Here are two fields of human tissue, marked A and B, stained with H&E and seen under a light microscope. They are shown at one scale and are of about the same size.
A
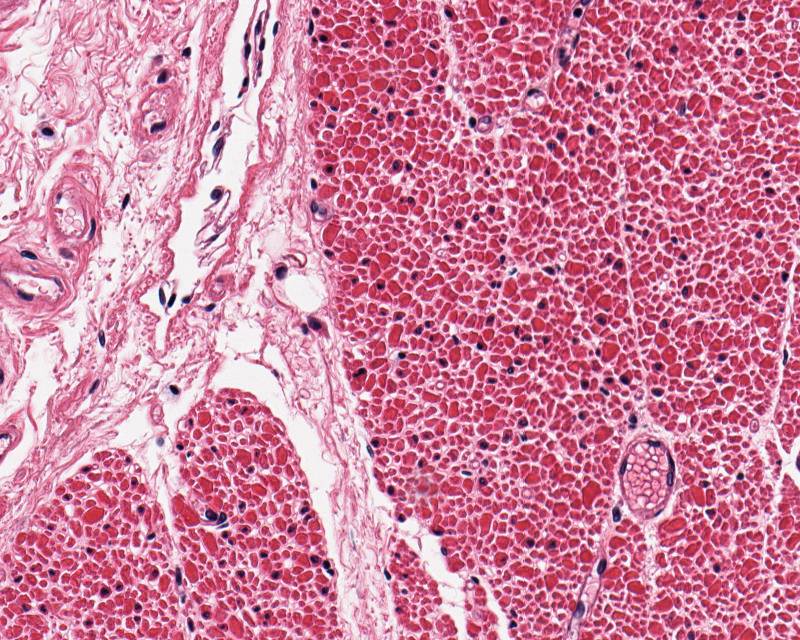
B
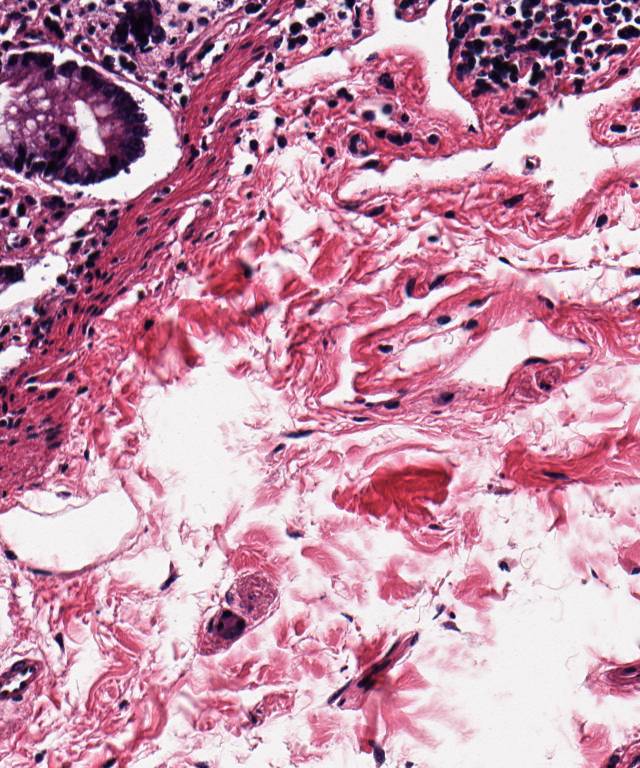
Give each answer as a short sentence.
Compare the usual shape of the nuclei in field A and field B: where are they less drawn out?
On the whole the nuclei of field A are rounder than those of field B.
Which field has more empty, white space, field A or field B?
More of field B is empty and white.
